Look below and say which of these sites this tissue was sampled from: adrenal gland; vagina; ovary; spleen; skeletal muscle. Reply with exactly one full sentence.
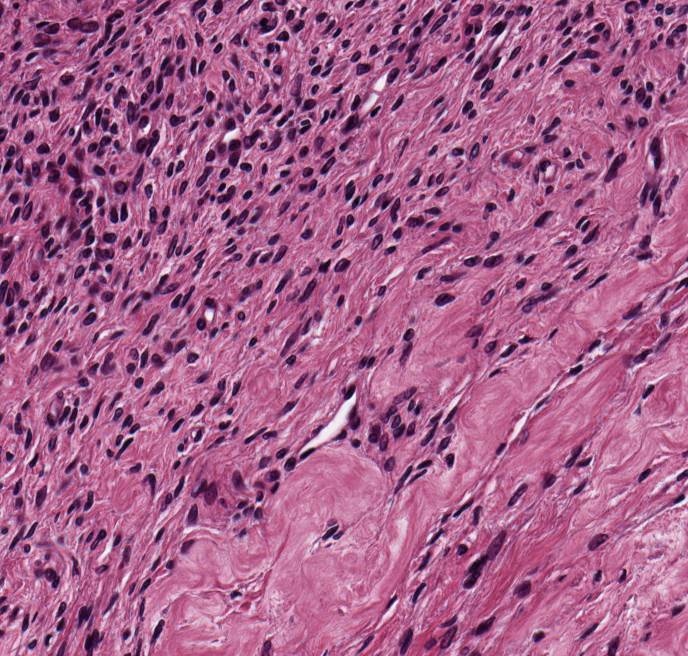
The tissue shown was sampled from the ovary.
